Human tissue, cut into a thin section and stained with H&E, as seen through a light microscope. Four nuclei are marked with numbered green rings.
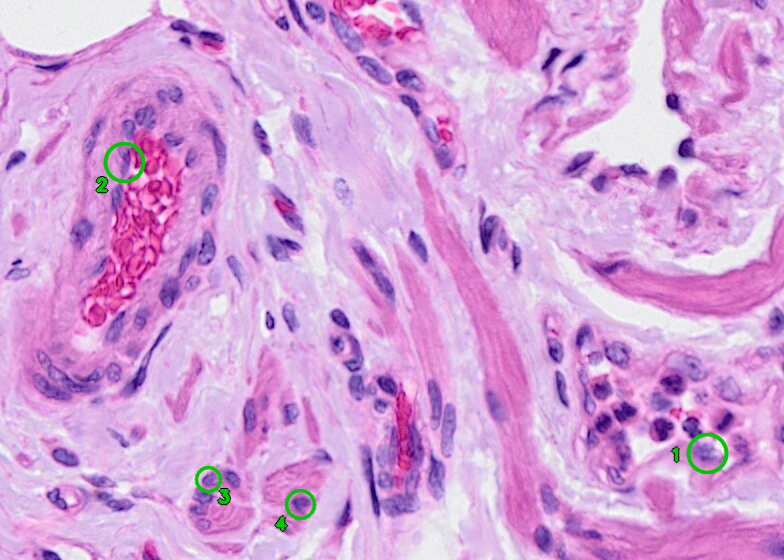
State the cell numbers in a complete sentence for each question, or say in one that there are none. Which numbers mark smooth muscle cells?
So, the cells with numbers 3 and 4 are smooth muscle cells.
